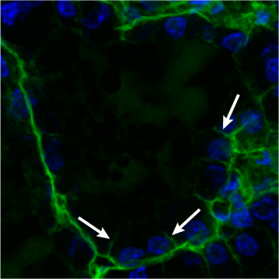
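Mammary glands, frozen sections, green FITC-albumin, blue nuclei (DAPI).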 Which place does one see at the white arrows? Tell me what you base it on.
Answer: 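The arrows point to green lines reaching in between adjacent epithelial cells lining the lumen. Blue nuclei sit on either side of the marked green lines. So: interfacing regions of alveolar epithelial cells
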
